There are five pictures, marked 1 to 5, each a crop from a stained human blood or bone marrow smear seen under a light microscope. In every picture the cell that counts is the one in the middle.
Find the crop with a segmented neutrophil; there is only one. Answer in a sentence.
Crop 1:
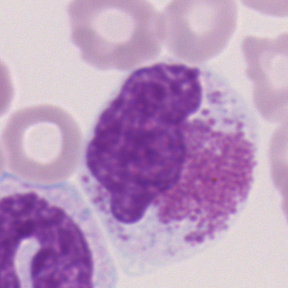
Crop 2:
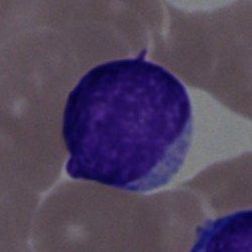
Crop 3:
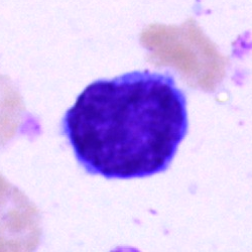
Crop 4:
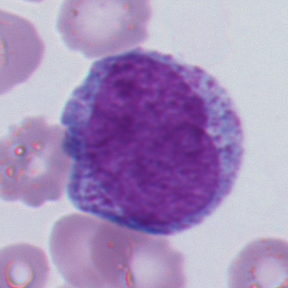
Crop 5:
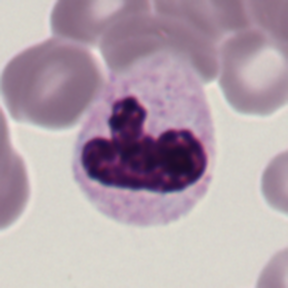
It is the cell in crop 5 that is a segmented neutrophil.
